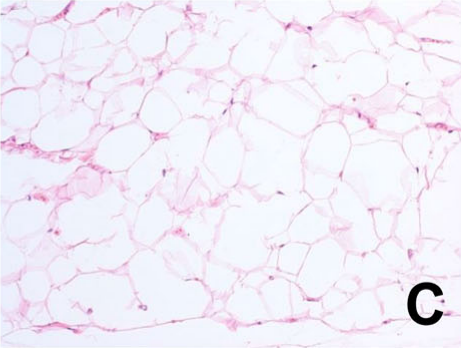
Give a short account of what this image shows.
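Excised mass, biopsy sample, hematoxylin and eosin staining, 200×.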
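Fatty tissue made of closely packed adipocytes, each a large polygonal cell whose interior is a single clear, unstained lipid vacuole. The cells are separated only by thin pink membranes, giving a chicken-wire pattern, and their few small dark nuclei are flattened against the cell borders. No dense clusters of cells are seen between the adipocytes.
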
